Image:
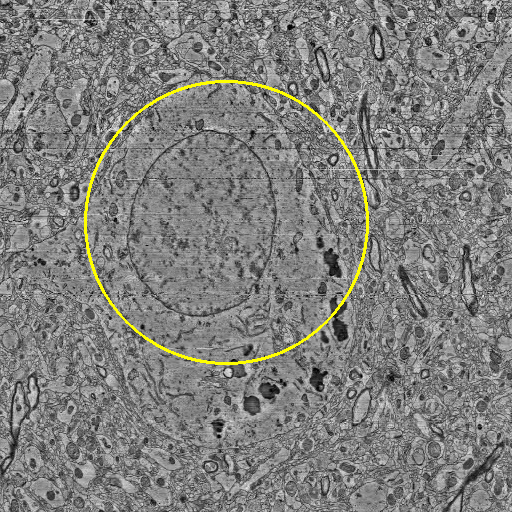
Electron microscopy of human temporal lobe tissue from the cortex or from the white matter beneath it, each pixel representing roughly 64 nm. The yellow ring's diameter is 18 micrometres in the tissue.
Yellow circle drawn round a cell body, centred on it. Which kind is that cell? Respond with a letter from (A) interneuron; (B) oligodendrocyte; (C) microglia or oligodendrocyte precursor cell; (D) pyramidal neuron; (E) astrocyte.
D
